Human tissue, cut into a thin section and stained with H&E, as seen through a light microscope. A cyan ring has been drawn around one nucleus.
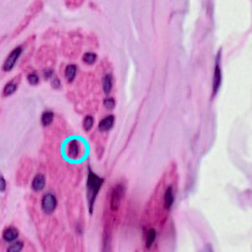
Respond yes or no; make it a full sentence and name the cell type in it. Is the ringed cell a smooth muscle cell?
Yes, the identification of the ringed cell as a smooth muscle cell stands.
